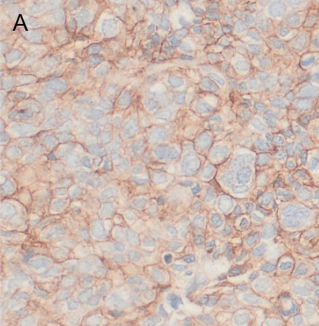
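A solid sheet of closely packed polygonal cells fills the field, without obvious gland spaces or stroma. Each cell has a round to oval blue nucleus with some visible chromatin texture and a modest rim of pale cytoplasm. Brown stain lines the cell borders throughout, so the cells appear outlined in a mesh-like pattern. This cohesive, cobblestone arrangement fits epithelial-like tumour cells.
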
